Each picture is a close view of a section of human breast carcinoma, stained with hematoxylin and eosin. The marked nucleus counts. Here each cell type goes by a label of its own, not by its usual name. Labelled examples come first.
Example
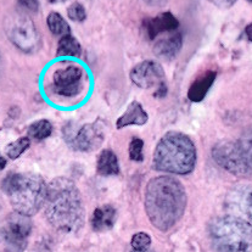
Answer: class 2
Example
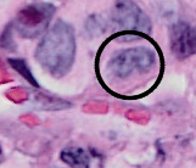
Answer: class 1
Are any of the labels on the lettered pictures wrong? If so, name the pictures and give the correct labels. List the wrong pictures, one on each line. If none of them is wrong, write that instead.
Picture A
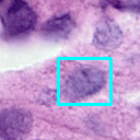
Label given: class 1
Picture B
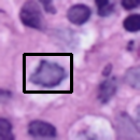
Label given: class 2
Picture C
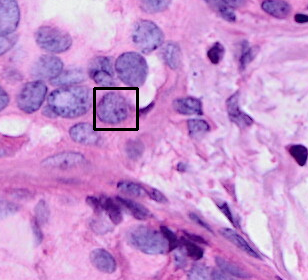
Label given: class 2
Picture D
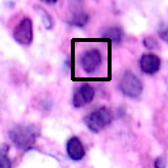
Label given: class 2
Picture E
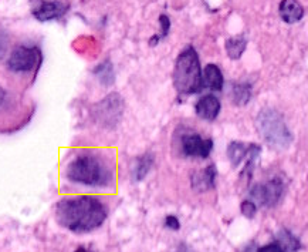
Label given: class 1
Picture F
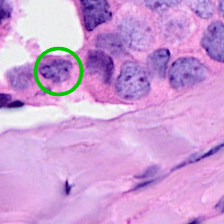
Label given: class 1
B: not class 2 but class 1
C: not class 2 but class 1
